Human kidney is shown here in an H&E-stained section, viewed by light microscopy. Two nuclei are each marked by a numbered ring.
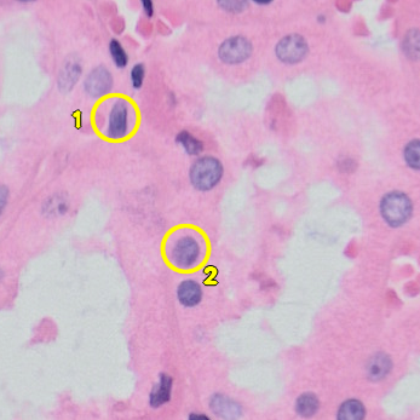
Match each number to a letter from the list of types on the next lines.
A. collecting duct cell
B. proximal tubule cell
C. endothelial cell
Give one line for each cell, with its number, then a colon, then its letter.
1: C
2: B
